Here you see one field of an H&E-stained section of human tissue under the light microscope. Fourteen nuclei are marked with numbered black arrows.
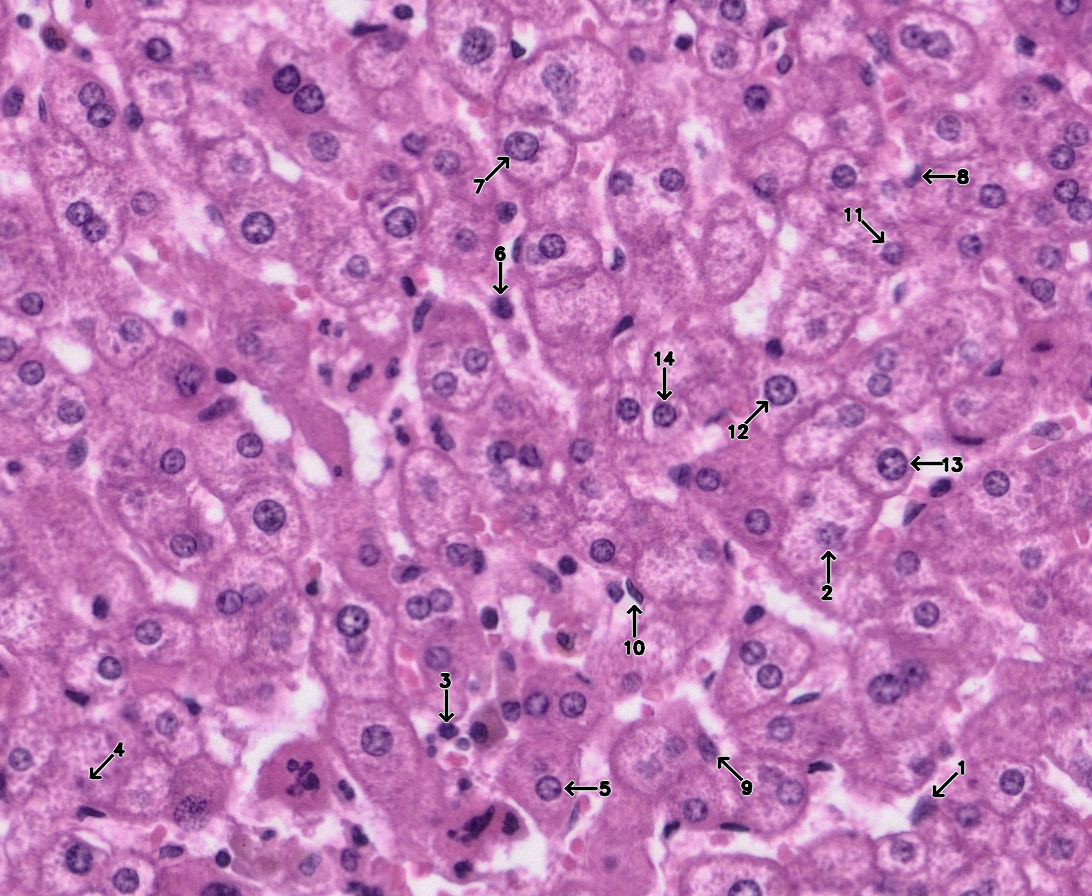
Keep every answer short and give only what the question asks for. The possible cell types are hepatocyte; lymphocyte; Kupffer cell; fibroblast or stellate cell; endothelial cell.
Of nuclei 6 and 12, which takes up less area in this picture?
6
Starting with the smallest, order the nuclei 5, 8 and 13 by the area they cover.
8, 5, 13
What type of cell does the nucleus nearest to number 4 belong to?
endothelial cell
